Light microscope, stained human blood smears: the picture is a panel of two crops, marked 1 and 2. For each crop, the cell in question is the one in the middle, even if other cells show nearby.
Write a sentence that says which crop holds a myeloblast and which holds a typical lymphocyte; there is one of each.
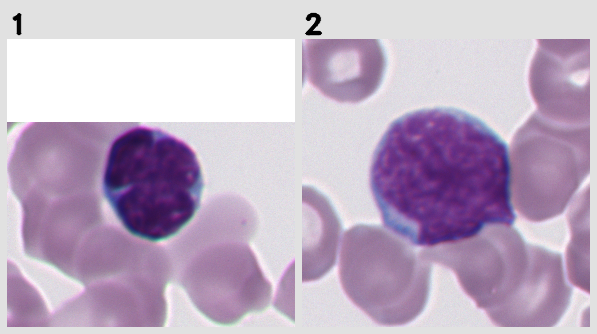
At the centre of crop 1 lies a typical lymphocyte, and at the centre of crop 2 lies a myeloblast.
